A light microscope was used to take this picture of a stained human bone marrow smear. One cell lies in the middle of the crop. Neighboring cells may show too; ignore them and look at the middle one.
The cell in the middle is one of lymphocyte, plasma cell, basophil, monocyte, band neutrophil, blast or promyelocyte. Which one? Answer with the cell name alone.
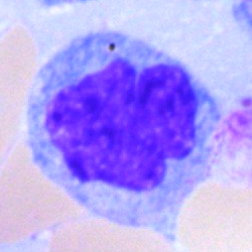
monocyte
